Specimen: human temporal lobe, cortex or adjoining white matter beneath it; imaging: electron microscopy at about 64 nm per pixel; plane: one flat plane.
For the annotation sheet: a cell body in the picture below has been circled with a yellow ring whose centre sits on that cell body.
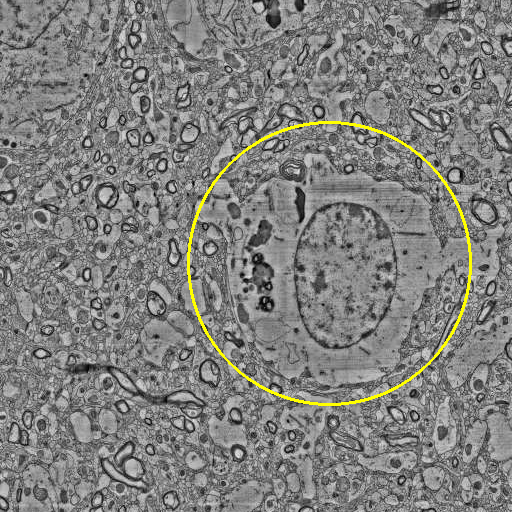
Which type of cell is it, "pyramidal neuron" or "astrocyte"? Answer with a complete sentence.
The circled cell is an astrocyte.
